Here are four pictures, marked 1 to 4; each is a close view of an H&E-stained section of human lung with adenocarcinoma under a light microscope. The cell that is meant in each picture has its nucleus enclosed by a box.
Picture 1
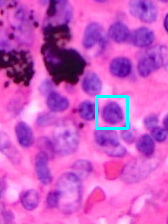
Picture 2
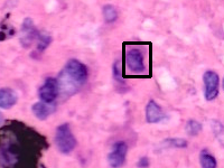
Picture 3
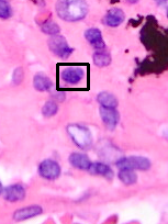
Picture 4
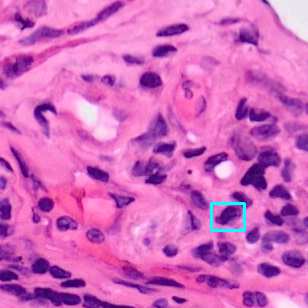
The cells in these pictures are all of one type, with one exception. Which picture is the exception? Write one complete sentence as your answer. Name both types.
Unlike the rest, which show lymphocytes, picture 2 shows a plasma cell.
